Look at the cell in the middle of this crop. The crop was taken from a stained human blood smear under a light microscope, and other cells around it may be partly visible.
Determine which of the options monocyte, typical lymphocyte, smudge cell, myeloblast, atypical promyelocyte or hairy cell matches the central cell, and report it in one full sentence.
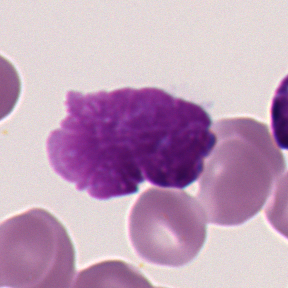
This crop is built around a smudge cell at its centre.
